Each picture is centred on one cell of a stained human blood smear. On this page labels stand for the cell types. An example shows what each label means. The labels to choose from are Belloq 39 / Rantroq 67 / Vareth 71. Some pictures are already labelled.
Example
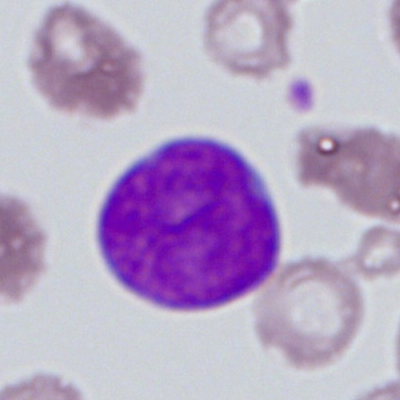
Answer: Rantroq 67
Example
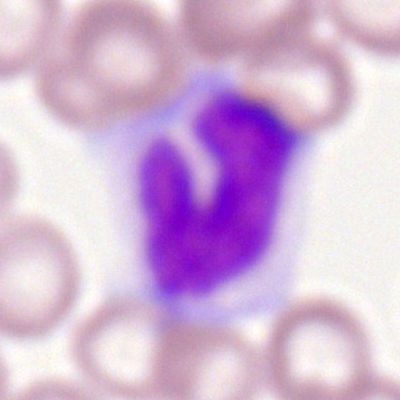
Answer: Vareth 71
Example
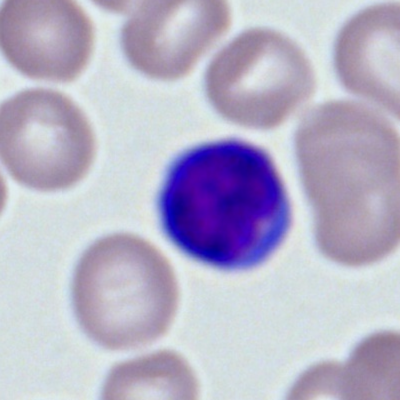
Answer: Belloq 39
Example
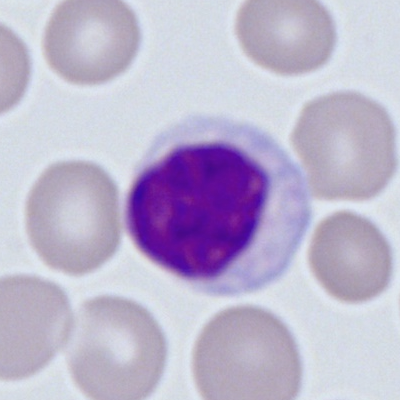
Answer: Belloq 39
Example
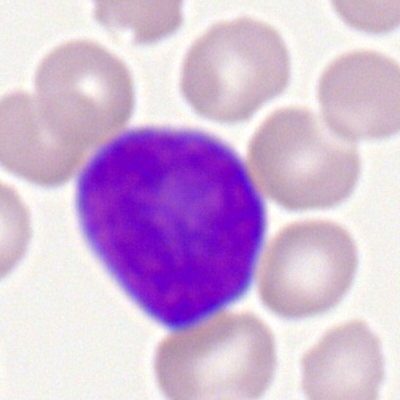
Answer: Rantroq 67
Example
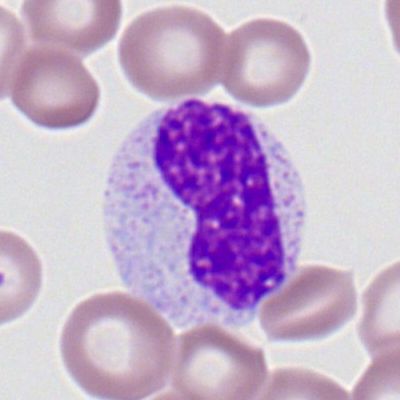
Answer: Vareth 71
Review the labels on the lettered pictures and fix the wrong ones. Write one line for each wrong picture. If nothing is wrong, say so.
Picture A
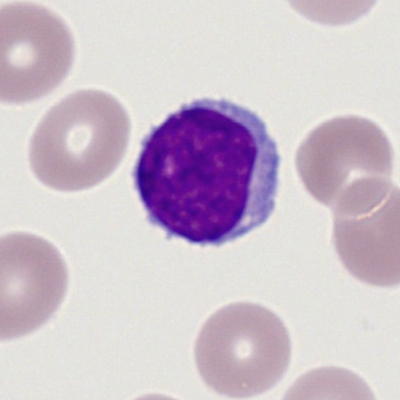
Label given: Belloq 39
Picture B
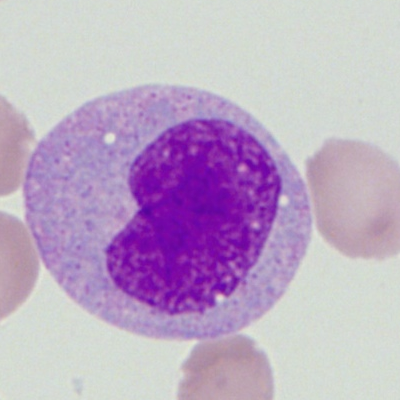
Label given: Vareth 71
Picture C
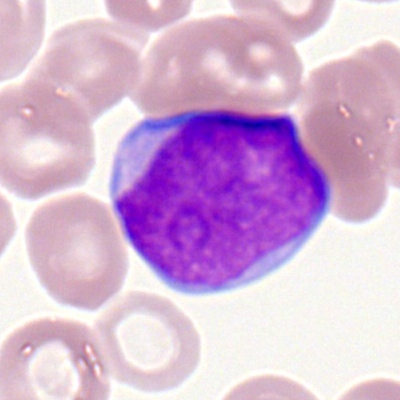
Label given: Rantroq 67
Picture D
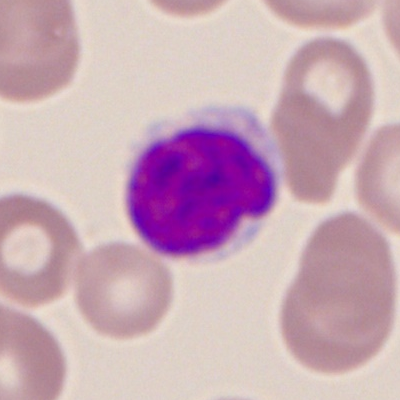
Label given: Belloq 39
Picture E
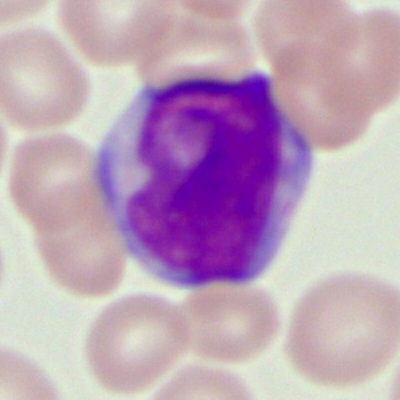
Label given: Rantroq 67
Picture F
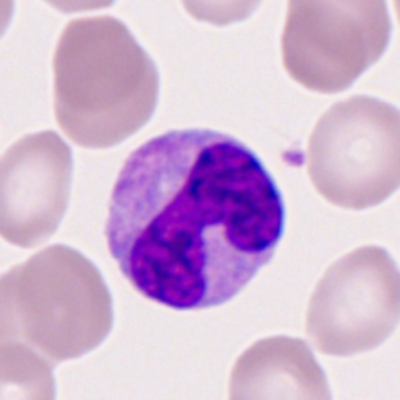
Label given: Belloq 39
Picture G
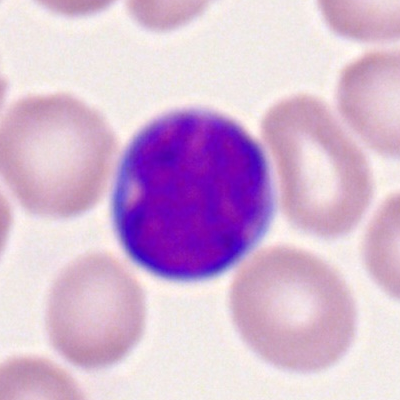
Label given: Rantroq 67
F: change Belloq 39 to Vareth 71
